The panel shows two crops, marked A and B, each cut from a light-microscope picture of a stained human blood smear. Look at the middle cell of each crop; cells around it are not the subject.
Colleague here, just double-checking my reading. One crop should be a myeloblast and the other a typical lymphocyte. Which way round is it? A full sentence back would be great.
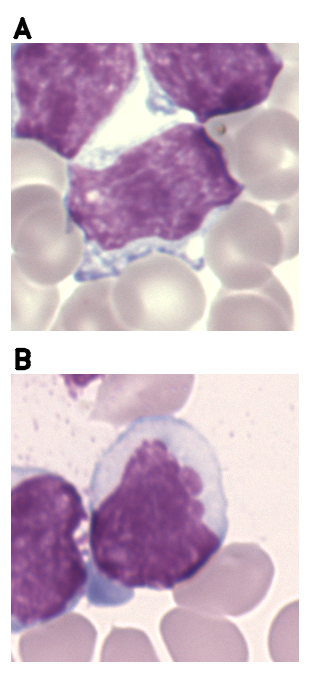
Crop A represents a typical lymphocyte, while crop B represents a myeloblast.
